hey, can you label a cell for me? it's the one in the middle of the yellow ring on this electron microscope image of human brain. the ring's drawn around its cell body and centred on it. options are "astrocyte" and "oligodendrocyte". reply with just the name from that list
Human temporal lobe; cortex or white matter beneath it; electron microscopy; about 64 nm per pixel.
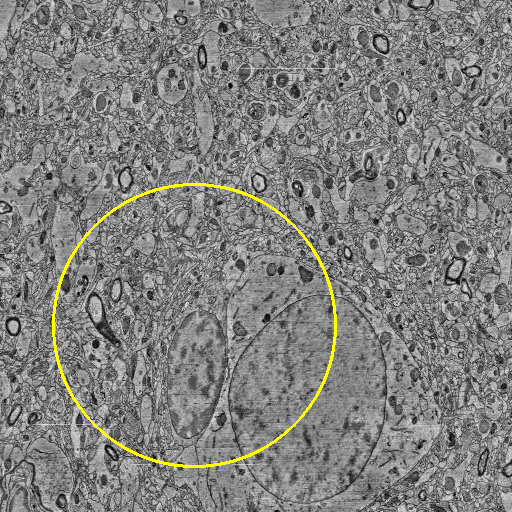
oligodendrocyte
